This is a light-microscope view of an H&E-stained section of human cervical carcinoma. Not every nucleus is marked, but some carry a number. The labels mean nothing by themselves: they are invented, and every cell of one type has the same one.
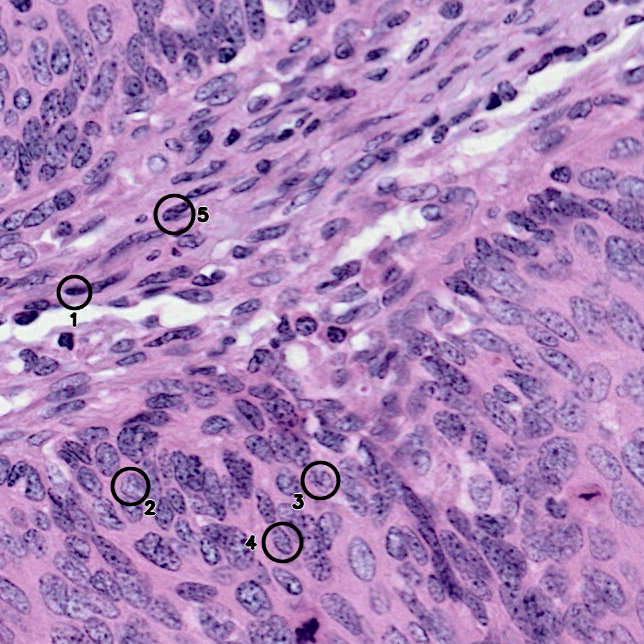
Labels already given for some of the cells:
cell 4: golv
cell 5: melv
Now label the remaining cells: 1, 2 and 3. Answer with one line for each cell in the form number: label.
1: melv
2: golv
3: golv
